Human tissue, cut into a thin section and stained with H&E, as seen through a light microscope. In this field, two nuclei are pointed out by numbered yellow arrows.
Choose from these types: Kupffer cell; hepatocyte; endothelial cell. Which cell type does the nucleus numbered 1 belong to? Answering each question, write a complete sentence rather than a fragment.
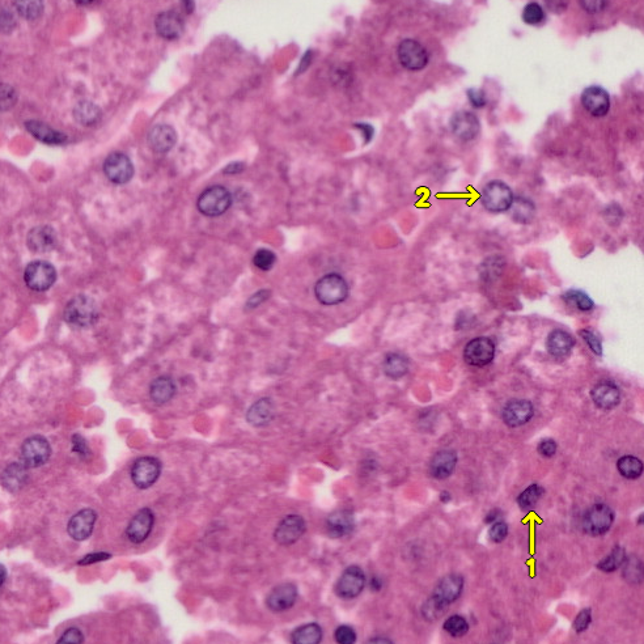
The cell with the number 1 is an endothelial cell.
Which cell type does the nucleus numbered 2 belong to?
Identified by the number 2, the cell is a hepatocyte.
